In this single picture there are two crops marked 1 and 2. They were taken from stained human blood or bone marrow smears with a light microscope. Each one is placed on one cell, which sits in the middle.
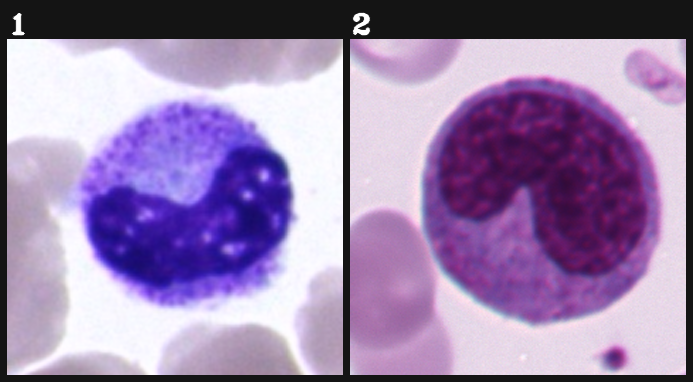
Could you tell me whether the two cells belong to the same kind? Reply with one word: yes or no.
no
